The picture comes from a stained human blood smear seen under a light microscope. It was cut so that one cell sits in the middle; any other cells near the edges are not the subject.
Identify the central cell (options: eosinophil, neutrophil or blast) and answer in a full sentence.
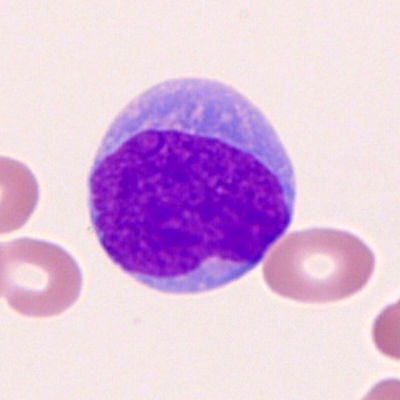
In the crop, the cell of interest at the centre is a blast.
